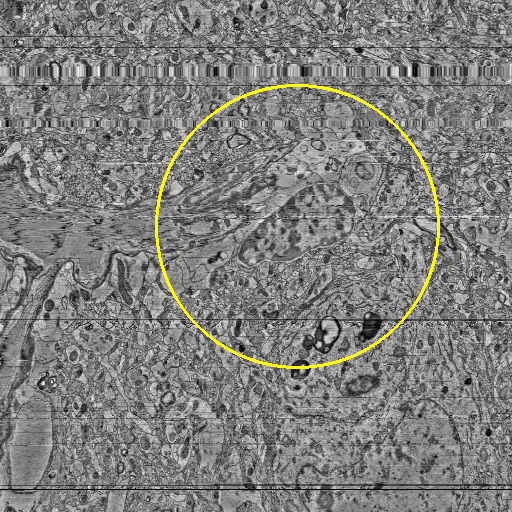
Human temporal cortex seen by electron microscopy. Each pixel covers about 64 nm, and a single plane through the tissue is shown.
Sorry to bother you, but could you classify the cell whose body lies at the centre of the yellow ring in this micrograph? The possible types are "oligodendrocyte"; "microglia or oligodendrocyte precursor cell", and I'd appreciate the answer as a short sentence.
The ringed cell body is that of a microglial cell or oligodendrocyte precursor cell.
